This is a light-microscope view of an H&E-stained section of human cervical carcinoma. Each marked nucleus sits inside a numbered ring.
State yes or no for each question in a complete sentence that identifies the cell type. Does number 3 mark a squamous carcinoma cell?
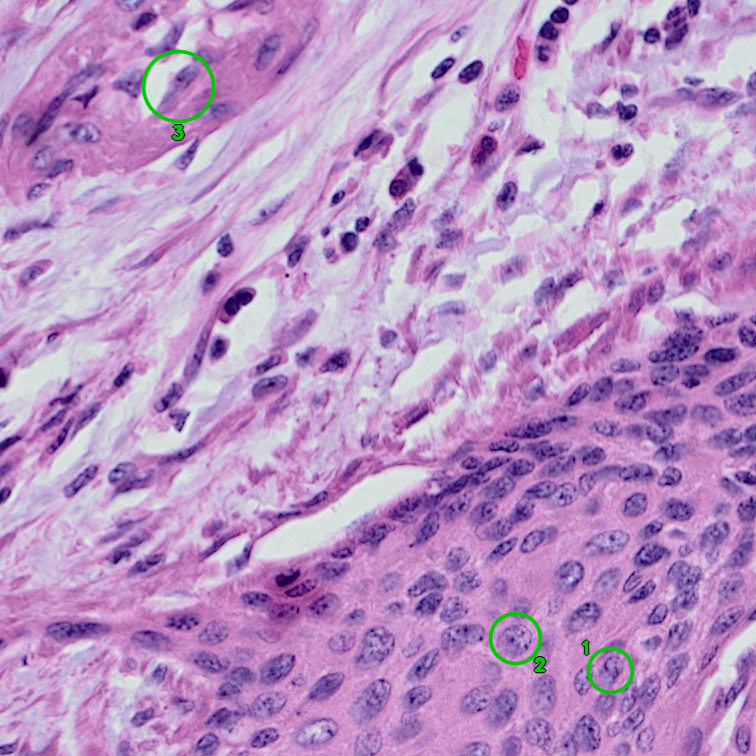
No, cell 3 is to be classed as an endothelial cell, not a squamous carcinoma cell.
